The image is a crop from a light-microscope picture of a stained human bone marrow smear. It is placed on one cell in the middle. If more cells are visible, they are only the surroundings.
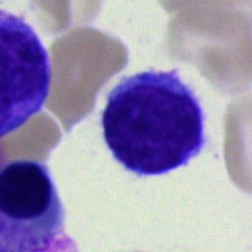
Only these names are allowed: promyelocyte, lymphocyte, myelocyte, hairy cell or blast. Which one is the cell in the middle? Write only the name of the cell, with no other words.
lymphocyte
